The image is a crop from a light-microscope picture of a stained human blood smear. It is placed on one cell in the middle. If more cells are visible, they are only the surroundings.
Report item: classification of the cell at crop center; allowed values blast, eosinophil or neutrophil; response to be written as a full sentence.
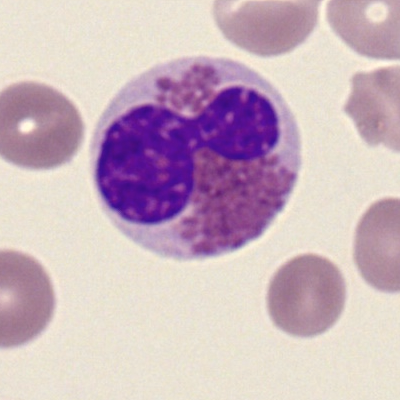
Here the cell in the middle is an eosinophil.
